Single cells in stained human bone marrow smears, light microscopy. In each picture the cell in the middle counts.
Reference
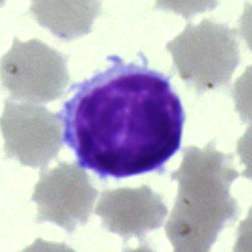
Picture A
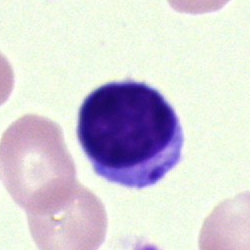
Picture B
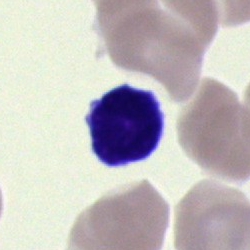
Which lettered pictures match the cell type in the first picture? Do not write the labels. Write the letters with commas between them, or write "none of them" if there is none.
A, B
